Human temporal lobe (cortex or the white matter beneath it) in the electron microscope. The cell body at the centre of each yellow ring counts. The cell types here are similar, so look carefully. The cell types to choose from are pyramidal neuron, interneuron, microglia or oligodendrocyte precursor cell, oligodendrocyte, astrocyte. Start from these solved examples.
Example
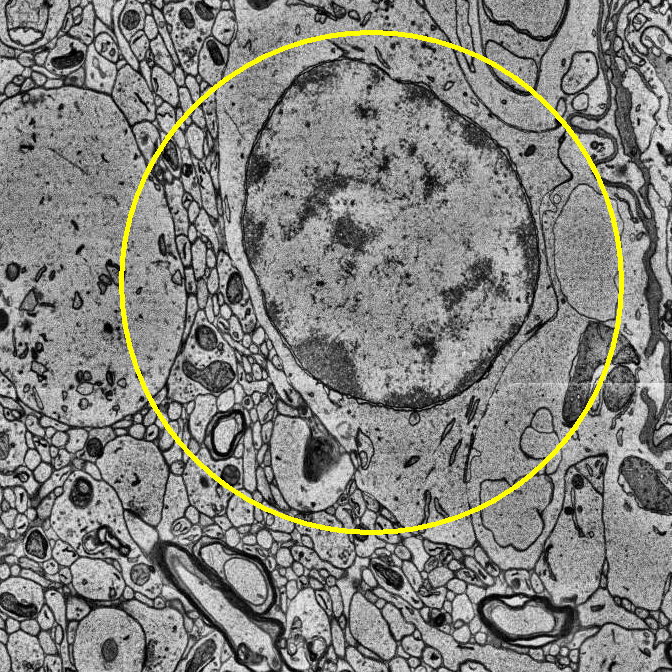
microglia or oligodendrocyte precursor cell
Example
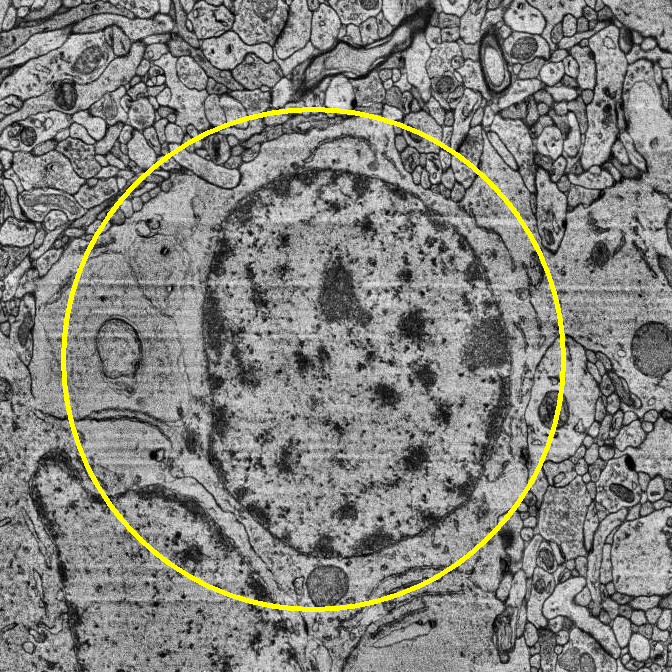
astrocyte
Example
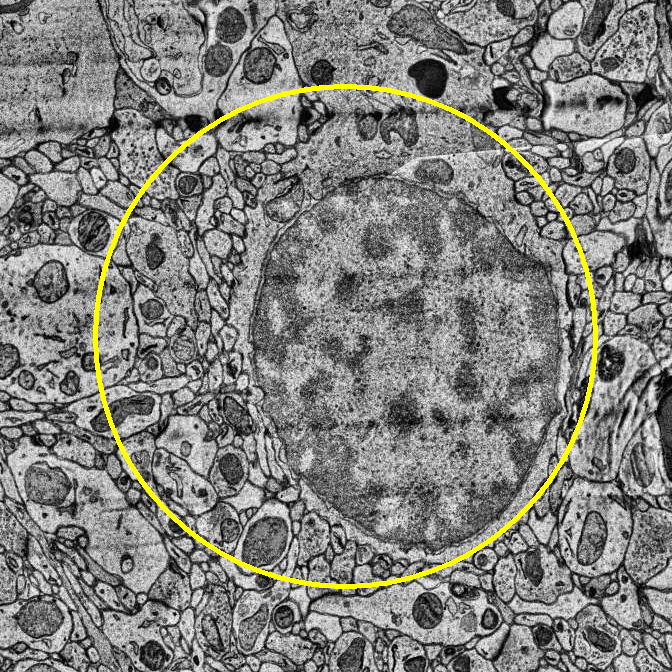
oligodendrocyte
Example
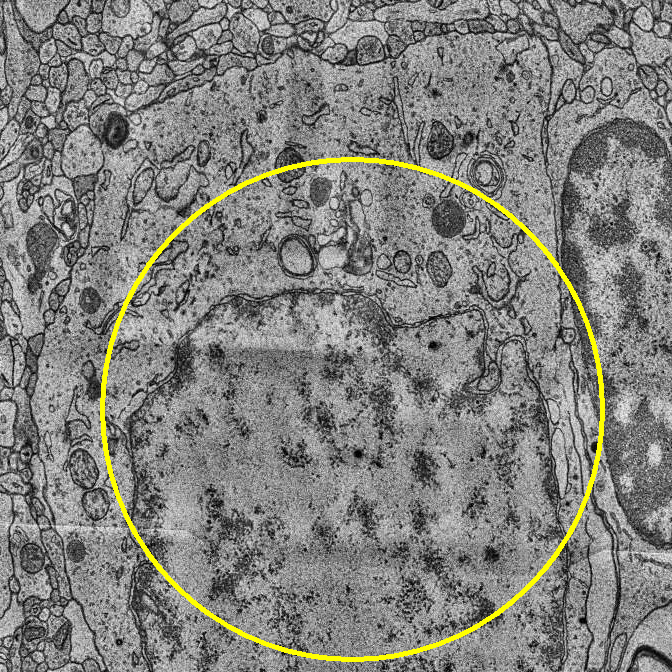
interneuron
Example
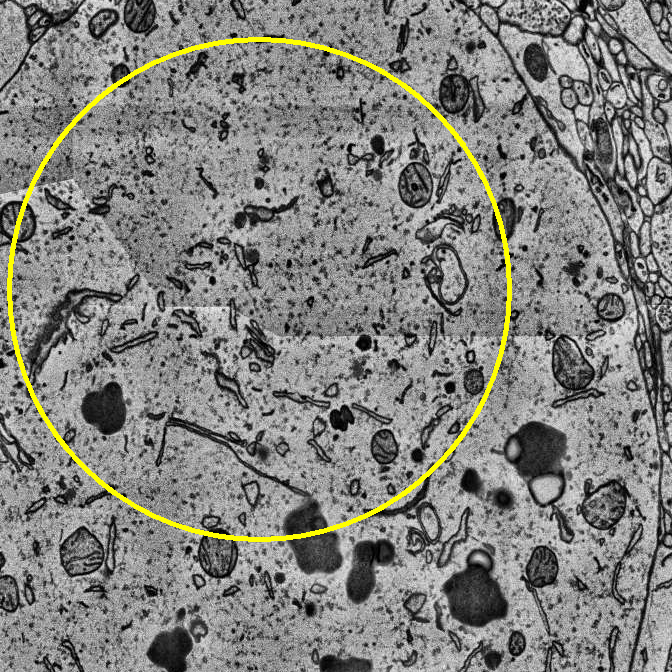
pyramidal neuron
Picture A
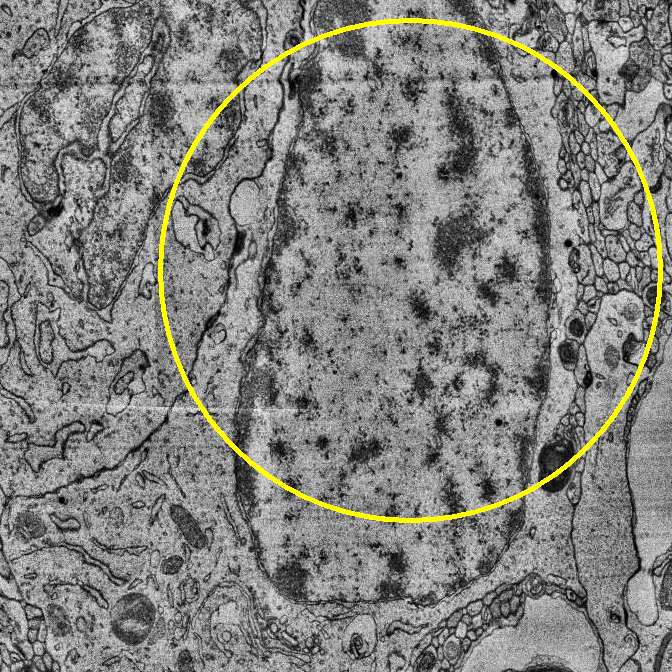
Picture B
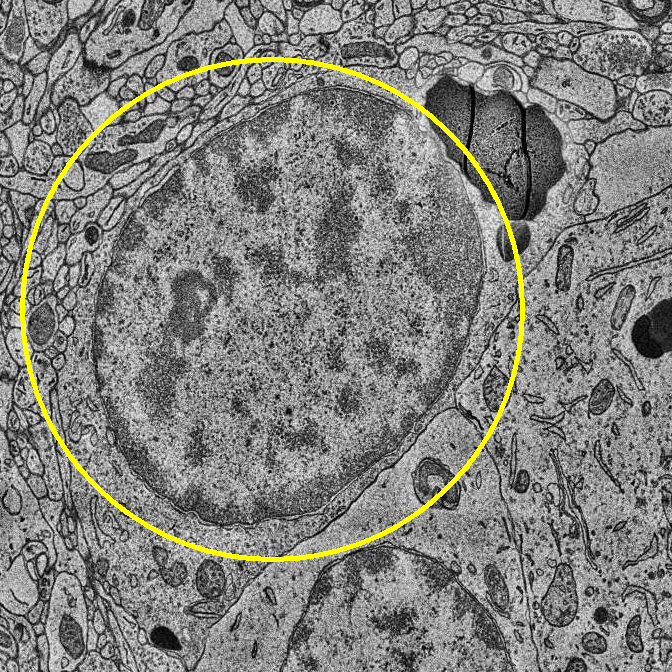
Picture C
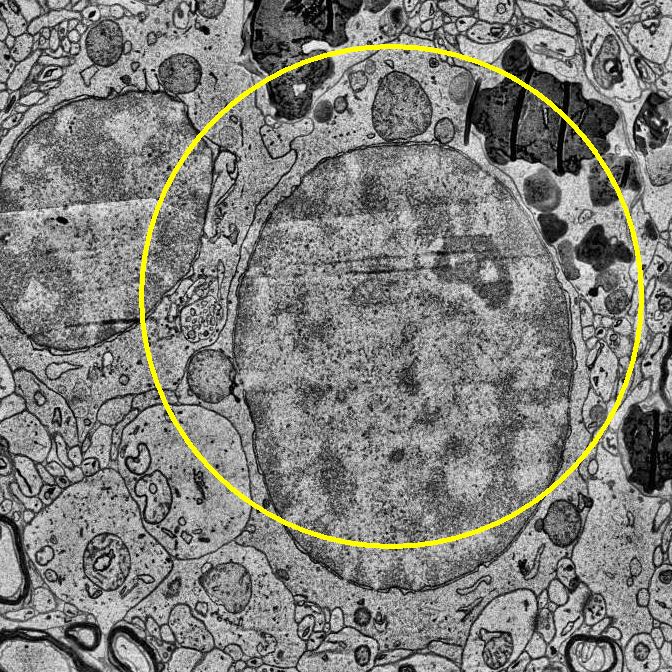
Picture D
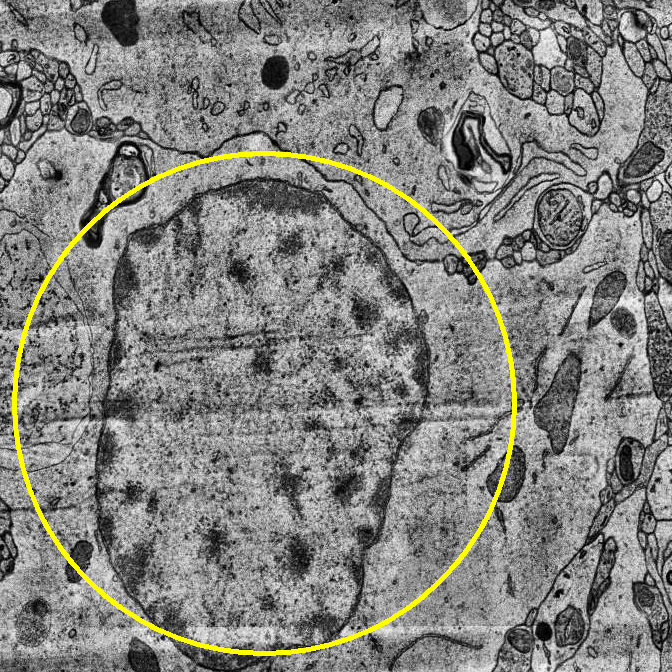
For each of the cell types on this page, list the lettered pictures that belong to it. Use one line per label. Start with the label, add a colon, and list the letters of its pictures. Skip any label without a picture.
microglia or oligodendrocyte precursor cell: A
oligodendrocyte: B, C
astrocyte: D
